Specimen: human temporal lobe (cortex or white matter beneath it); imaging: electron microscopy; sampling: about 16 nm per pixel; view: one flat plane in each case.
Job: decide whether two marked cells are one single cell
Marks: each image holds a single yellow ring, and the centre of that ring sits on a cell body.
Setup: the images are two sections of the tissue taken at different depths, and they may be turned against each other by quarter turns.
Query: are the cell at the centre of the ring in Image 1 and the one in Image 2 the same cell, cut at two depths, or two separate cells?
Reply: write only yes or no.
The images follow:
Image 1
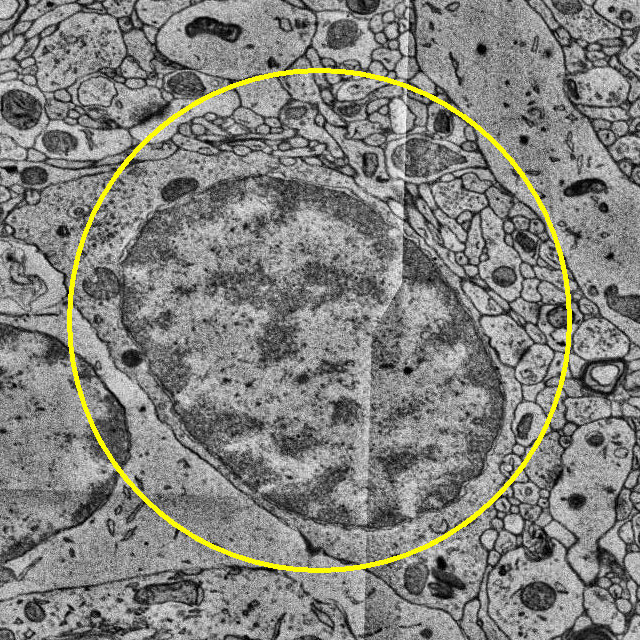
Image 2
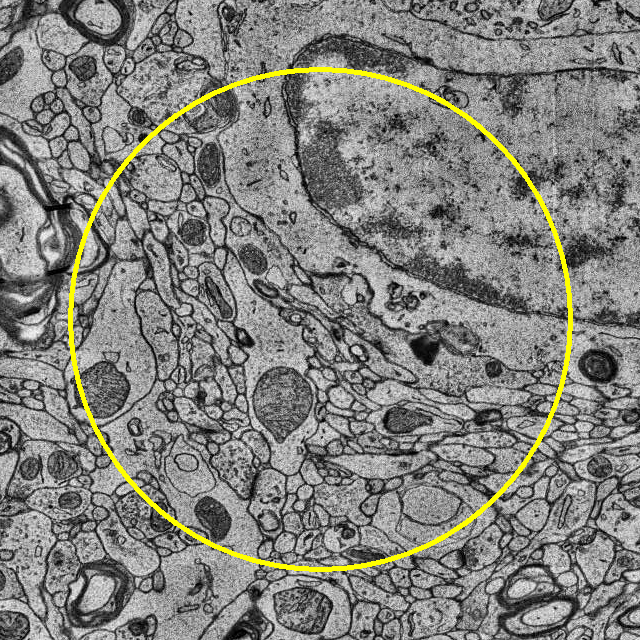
yes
